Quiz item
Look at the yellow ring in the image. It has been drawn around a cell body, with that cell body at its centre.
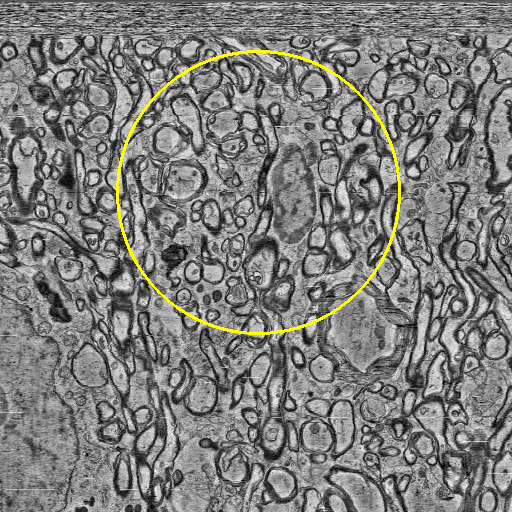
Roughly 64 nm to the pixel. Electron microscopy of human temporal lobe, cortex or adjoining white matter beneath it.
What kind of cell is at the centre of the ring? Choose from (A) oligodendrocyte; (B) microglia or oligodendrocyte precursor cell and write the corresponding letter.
B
